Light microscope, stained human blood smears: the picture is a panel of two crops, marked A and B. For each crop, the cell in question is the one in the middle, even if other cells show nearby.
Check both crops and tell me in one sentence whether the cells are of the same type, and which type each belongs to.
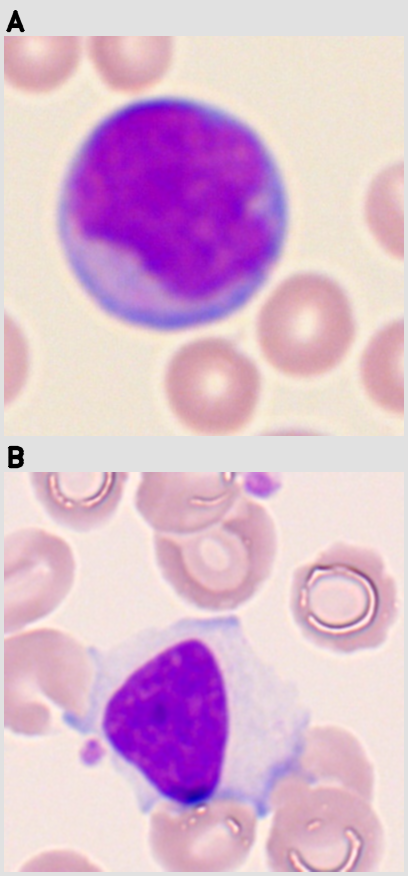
No, crop A contains a blast, and crop B contains a lymphocyte.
